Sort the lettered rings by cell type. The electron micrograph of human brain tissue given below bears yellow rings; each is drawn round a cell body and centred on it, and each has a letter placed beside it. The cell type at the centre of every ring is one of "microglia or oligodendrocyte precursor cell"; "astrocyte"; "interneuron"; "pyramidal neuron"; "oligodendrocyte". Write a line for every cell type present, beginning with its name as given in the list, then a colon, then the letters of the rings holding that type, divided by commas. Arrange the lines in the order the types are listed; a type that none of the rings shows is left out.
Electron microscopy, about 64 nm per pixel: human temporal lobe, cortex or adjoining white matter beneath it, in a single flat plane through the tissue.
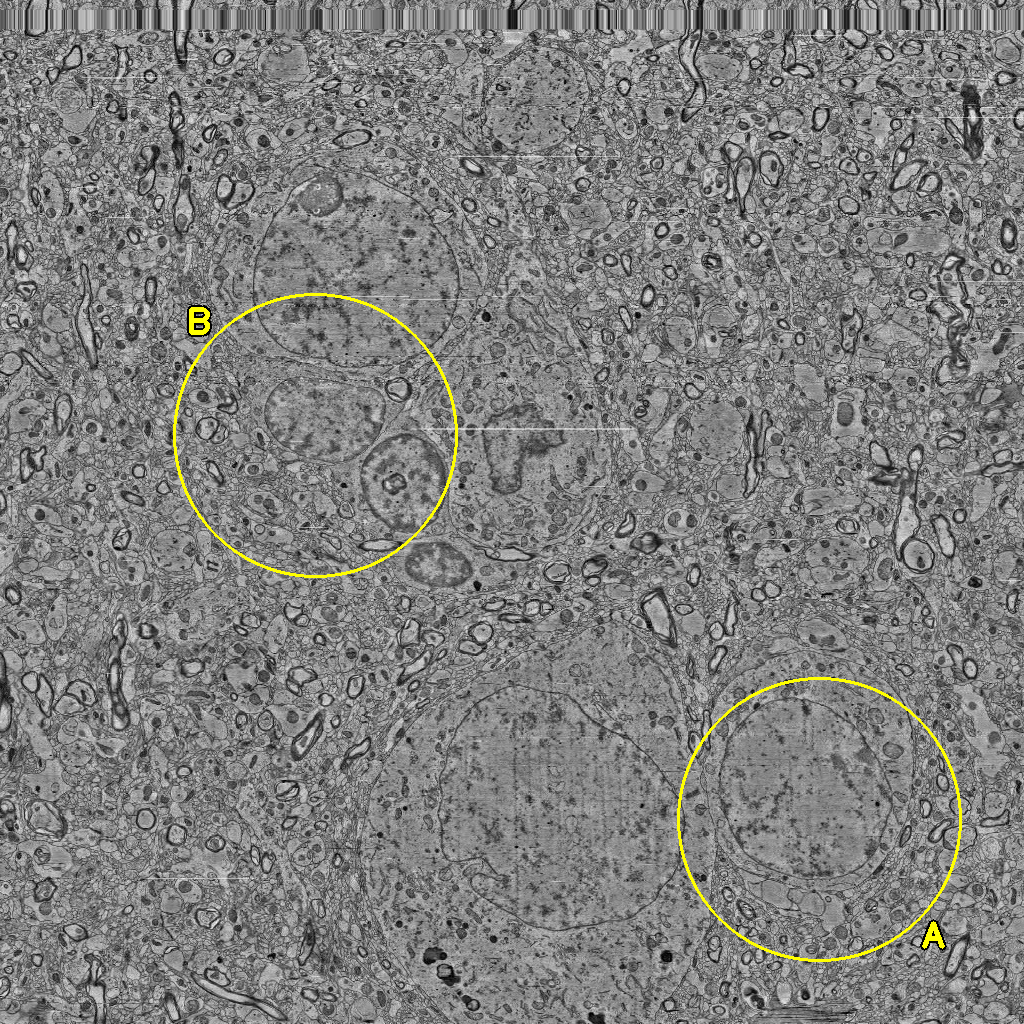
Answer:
pyramidal neuron: A
oligodendrocyte: B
